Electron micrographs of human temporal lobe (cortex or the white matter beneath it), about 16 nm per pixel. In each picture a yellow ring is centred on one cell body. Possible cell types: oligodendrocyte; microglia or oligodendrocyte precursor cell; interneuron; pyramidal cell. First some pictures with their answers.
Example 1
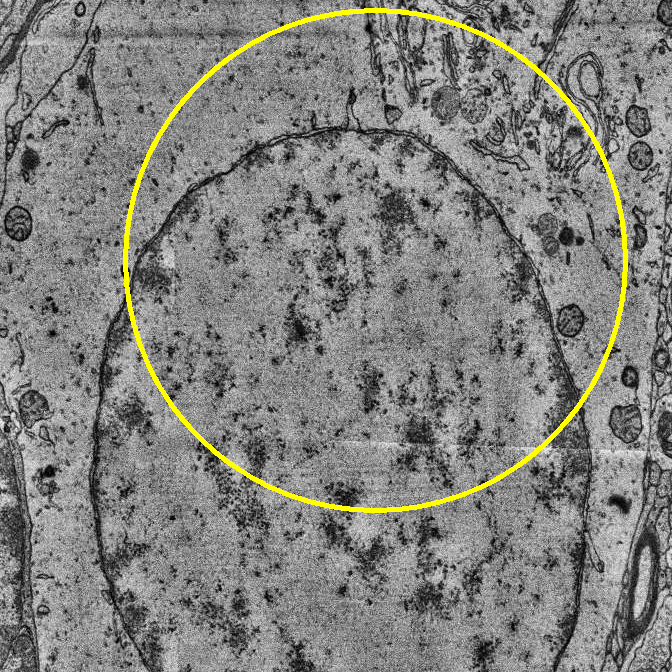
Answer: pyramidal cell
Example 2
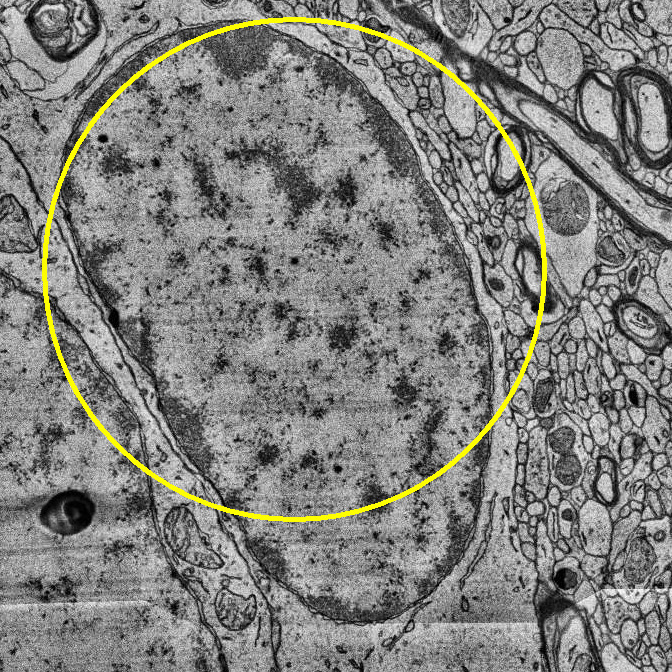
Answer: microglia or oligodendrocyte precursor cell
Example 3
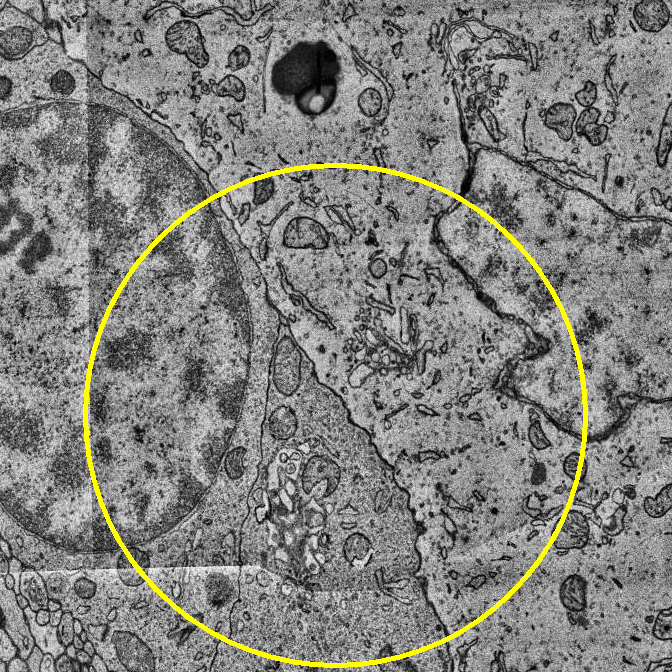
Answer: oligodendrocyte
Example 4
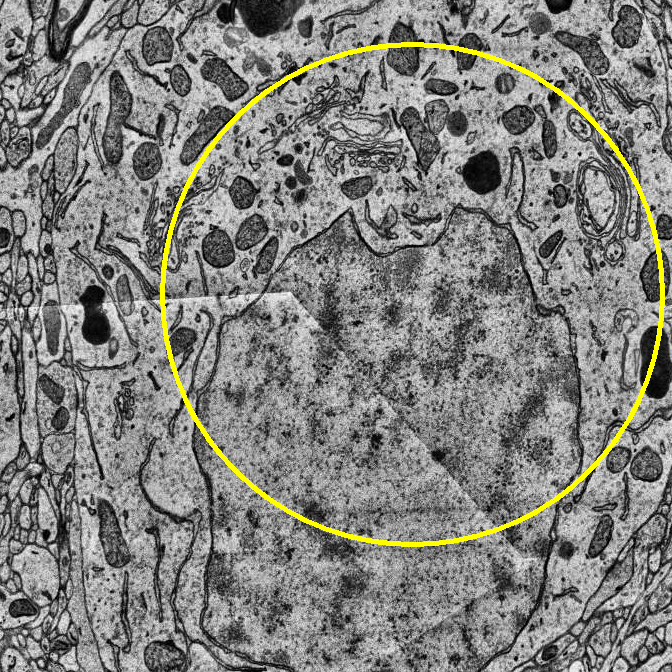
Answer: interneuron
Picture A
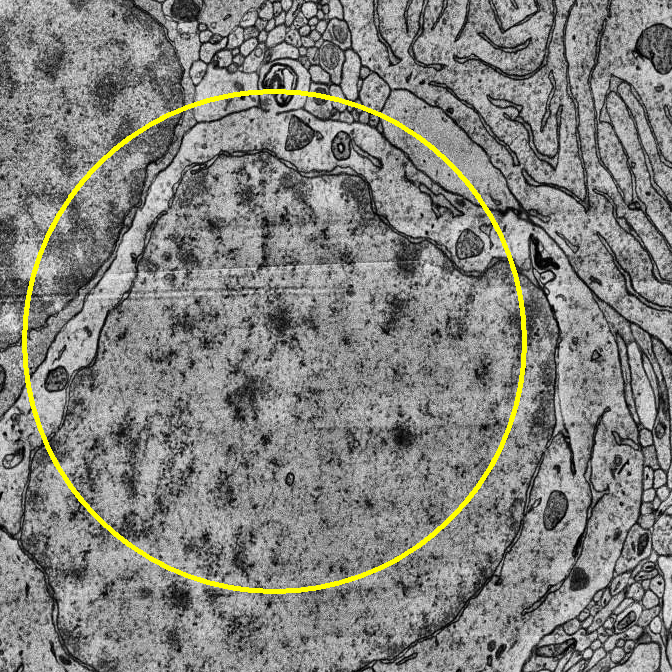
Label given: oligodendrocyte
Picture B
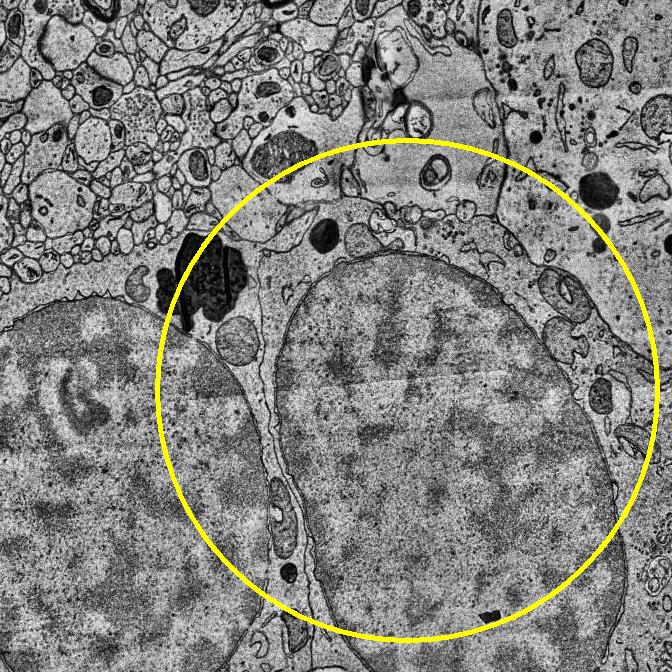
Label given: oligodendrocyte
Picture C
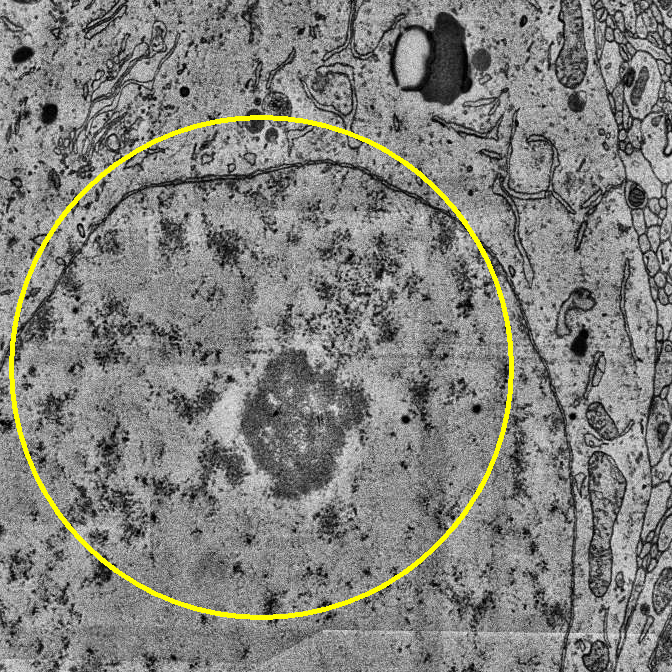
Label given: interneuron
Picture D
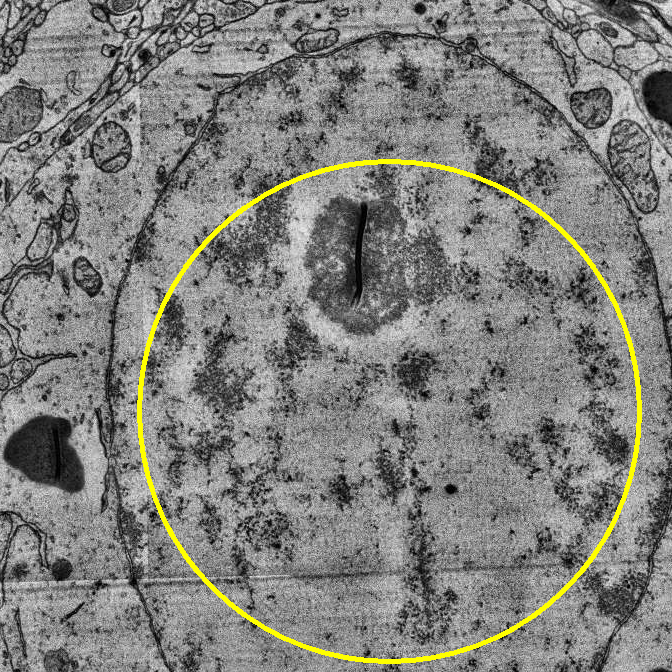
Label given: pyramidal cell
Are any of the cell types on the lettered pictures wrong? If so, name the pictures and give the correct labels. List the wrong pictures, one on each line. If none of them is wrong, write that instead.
A should be interneuron, not oligodendrocyte
C should be pyramidal cell, not interneuron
